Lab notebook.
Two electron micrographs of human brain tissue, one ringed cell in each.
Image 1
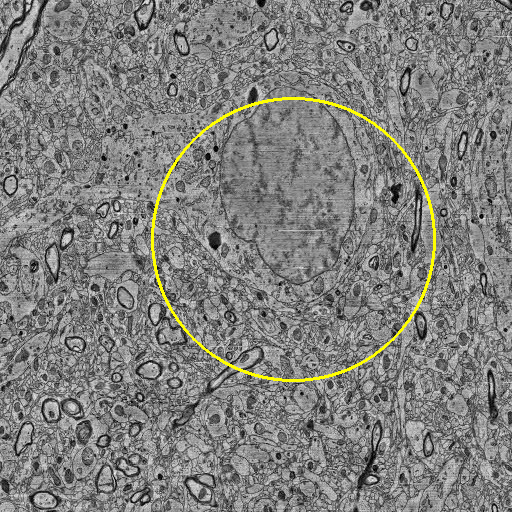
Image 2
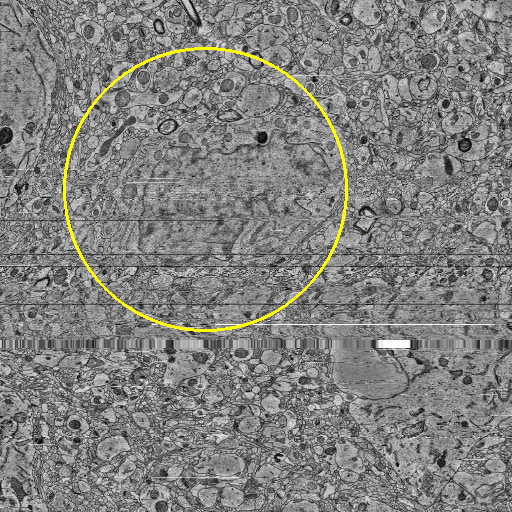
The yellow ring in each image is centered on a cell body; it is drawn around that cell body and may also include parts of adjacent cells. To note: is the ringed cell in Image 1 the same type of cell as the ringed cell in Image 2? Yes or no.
no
